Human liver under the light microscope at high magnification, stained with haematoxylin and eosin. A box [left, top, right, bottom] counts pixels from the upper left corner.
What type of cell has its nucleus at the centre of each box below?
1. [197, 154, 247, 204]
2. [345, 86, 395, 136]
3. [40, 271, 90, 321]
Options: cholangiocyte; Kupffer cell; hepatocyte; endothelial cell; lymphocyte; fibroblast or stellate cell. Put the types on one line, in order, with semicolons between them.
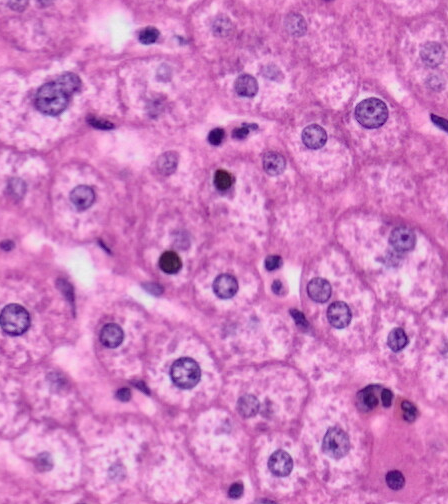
hepatocyte; hepatocyte; Kupffer cell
